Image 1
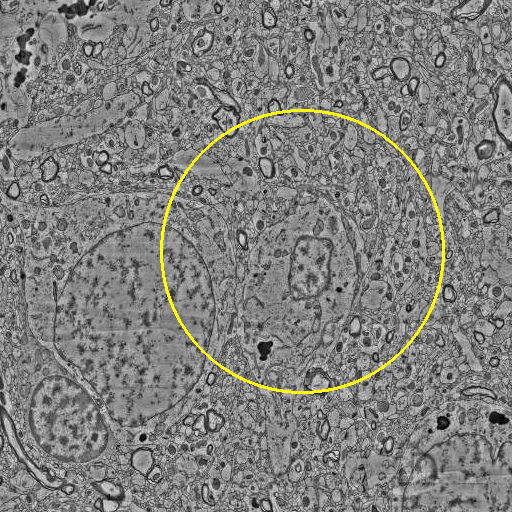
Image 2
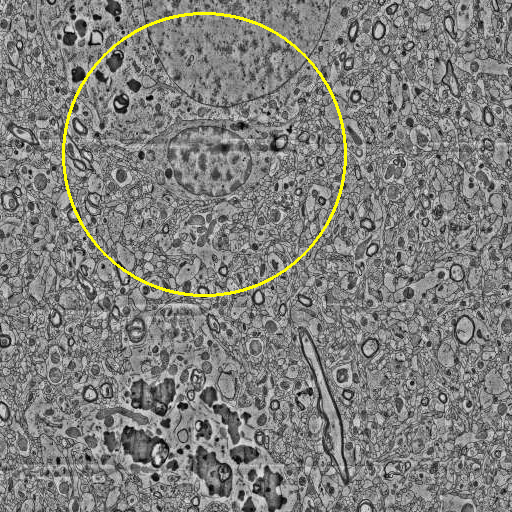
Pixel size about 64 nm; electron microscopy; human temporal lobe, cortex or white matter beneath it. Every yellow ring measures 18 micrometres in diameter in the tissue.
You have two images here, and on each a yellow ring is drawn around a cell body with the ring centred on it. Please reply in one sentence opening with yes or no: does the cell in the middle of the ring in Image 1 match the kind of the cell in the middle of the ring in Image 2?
No, the two images show cells of two kinds at the centres of their rings.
